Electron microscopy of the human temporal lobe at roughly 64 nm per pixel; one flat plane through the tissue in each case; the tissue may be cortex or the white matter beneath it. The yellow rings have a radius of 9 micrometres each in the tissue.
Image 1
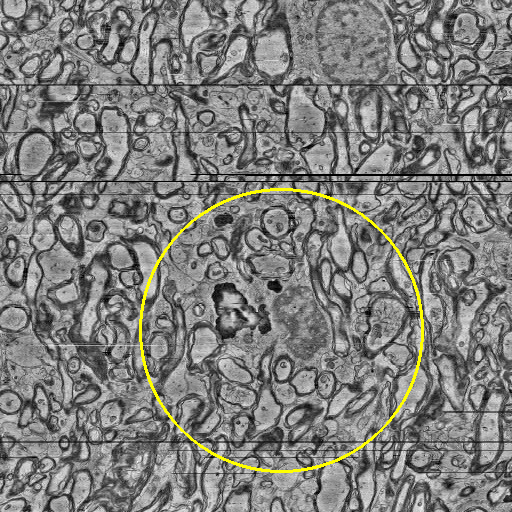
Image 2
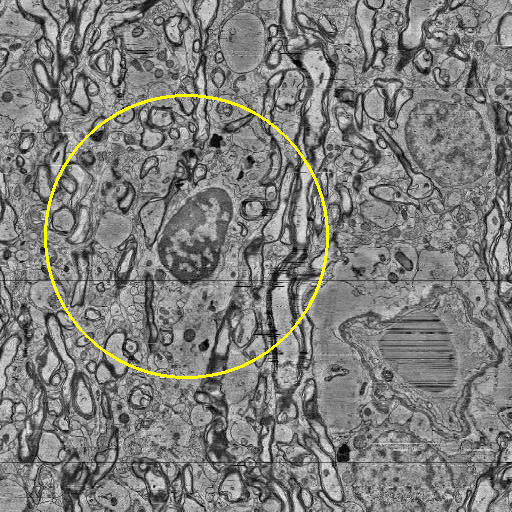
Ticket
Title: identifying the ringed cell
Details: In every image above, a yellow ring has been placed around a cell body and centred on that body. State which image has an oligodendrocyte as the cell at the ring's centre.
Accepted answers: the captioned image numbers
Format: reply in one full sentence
The ring in image 1 is centred on the cell in question.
